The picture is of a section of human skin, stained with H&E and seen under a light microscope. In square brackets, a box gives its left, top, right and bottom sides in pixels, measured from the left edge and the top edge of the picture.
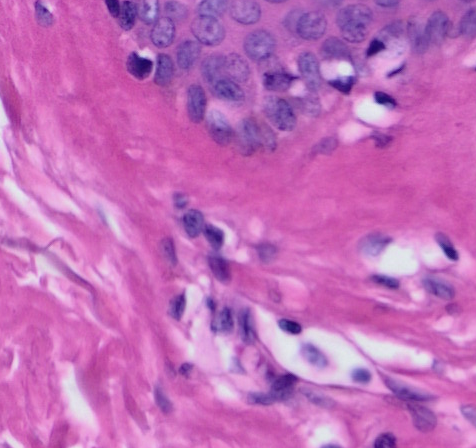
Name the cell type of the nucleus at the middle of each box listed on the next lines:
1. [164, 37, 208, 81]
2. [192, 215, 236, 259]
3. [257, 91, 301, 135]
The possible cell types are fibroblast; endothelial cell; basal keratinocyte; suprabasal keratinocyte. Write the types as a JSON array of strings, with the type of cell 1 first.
["basal keratinocyte", "endothelial cell", "basal keratinocyte"]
